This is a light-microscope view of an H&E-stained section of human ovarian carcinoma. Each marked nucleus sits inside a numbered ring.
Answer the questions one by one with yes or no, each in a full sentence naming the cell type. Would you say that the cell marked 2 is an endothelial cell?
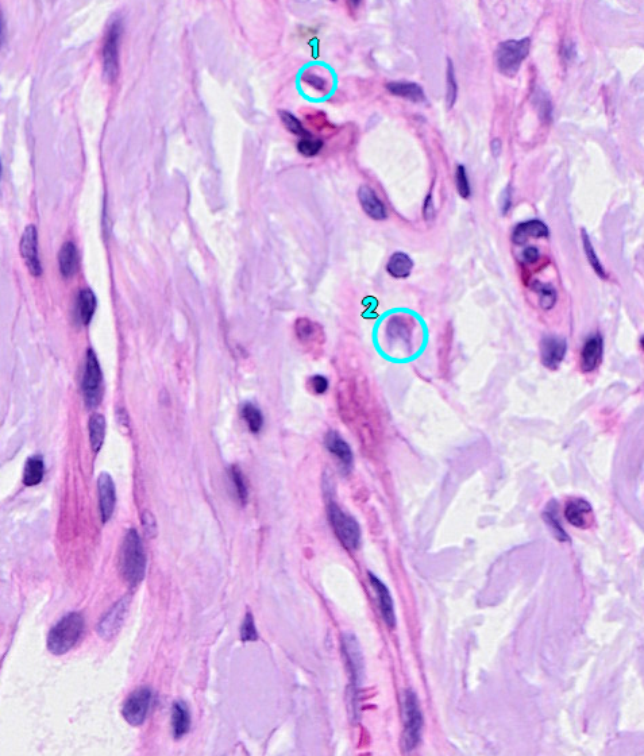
No, calling cell 2 an endothelial cell is incorrect; it is a fibroblast.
